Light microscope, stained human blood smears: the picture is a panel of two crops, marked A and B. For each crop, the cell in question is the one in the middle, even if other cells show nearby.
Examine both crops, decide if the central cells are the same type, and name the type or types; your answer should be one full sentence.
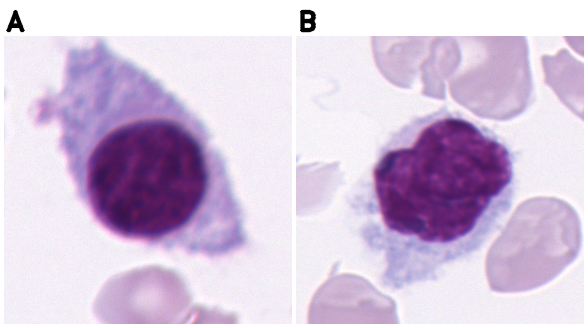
Yes, both of the crops in this pair show hairy cells, one cell in each crop.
